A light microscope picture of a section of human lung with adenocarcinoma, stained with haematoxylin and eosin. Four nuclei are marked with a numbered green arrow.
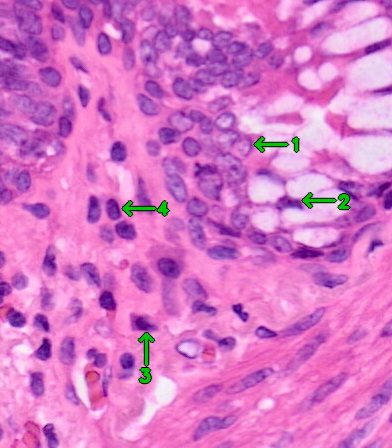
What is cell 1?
ciliated epithelial cell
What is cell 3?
plasma cell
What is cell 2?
ciliated epithelial cell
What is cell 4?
lymphocyte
